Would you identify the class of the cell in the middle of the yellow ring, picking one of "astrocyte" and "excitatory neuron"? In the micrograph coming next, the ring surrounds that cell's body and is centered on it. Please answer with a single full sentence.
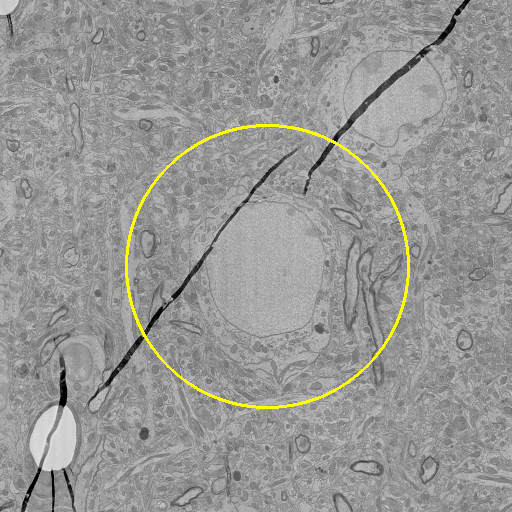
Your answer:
In the micrograph, it is an excitatory neuron whose body lies at the ring's center.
